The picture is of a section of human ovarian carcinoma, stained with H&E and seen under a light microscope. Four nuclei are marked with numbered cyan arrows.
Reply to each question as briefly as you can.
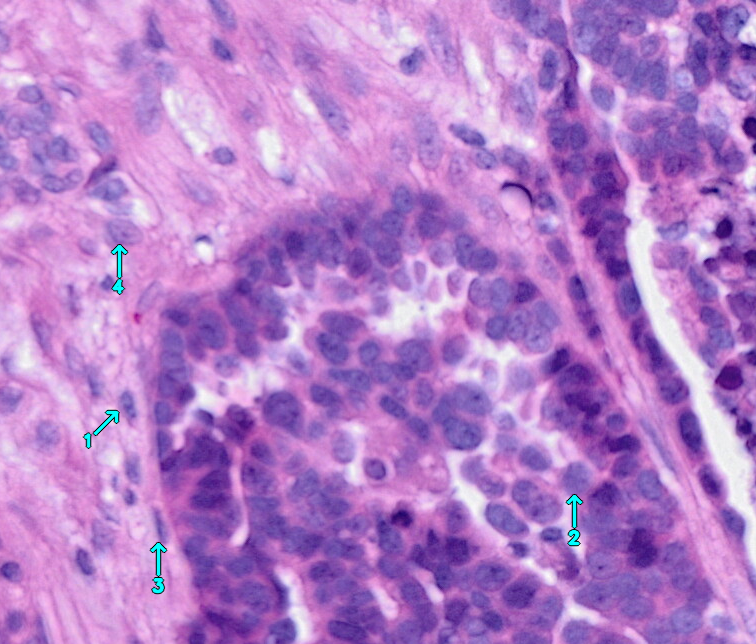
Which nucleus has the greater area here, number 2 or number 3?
2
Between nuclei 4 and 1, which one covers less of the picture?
1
